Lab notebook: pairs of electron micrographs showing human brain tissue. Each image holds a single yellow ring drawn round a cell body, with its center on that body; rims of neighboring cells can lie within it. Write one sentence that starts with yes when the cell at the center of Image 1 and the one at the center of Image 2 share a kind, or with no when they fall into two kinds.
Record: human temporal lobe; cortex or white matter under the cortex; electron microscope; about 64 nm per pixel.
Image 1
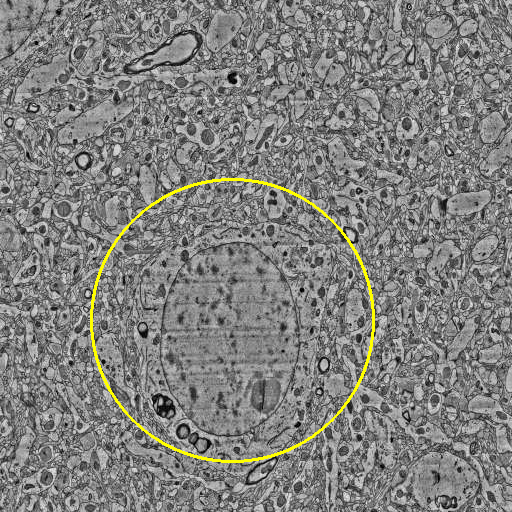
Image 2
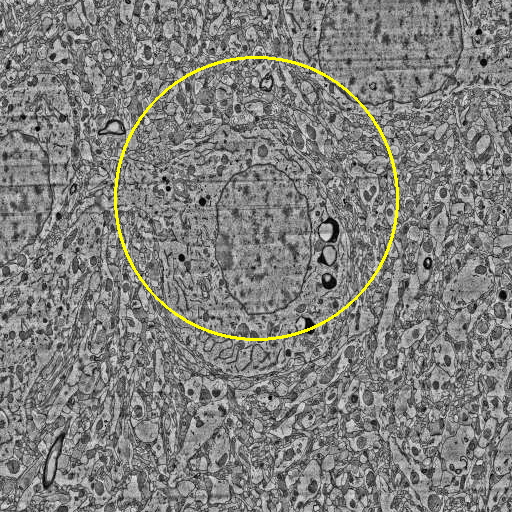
Yes, the centered cell in Image 1 and the centered cell in Image 2 are of one kind.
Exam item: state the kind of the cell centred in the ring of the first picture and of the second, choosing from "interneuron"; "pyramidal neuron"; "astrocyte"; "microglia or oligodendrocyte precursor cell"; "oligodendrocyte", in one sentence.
In each picture the ringed cell is a pyramidal neuron.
